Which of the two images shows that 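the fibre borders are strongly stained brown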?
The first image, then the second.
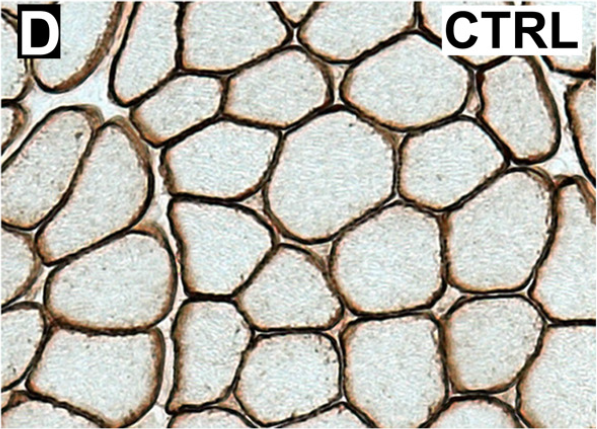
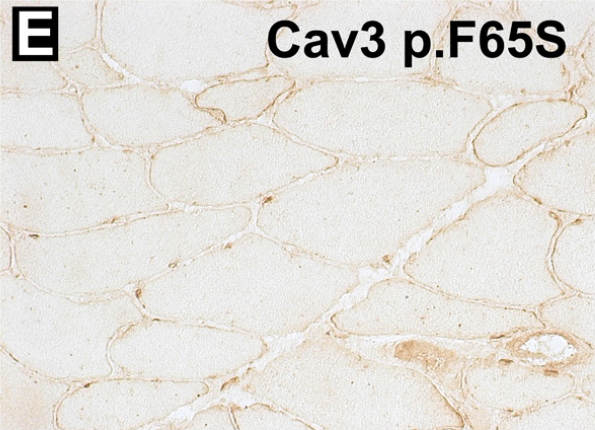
the first image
